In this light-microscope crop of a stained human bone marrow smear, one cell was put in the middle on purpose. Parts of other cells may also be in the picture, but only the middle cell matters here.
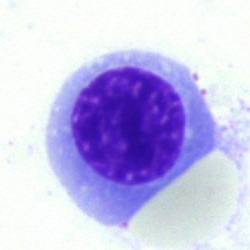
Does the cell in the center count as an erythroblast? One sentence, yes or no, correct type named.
Yes, the cell in the middle is an erythroblast.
